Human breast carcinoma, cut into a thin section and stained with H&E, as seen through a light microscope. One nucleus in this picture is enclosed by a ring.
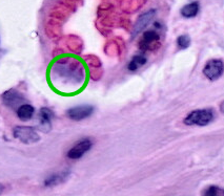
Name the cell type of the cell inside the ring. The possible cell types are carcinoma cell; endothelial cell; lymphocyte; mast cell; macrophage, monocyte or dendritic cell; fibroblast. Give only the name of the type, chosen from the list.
endothelial cell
